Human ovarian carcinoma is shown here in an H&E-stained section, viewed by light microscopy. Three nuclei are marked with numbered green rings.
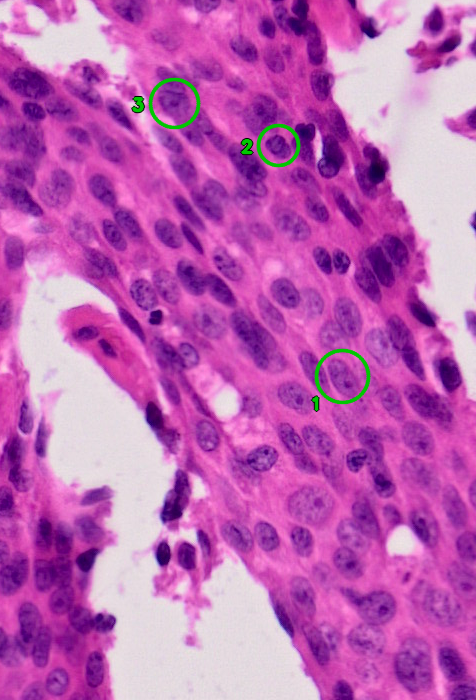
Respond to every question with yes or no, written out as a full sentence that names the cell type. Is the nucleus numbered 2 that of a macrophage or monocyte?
Yes, it is a macrophage or monocyte that carries the number 2.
